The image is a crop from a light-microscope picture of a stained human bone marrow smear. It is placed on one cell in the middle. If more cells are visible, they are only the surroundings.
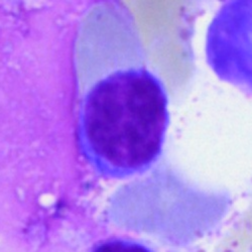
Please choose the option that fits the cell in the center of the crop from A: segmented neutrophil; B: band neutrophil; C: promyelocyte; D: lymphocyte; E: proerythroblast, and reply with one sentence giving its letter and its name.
Option D is accurate; the centrally placed cell is a lymphocyte.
